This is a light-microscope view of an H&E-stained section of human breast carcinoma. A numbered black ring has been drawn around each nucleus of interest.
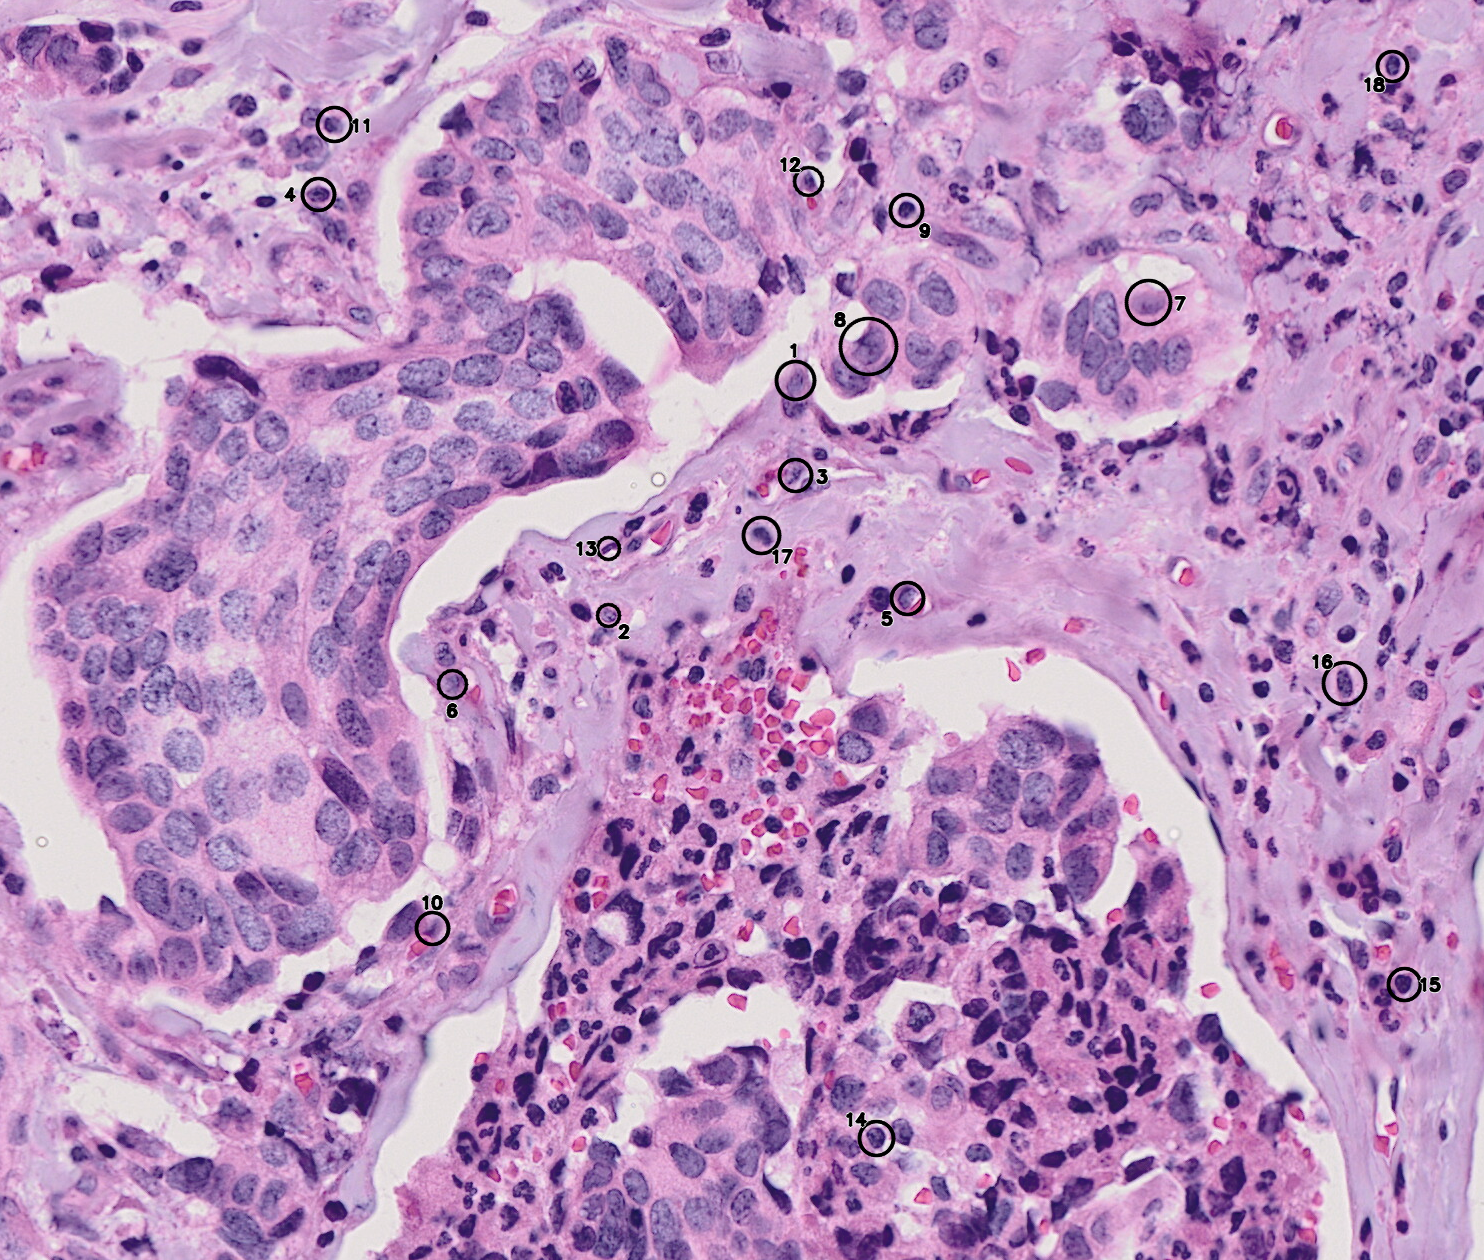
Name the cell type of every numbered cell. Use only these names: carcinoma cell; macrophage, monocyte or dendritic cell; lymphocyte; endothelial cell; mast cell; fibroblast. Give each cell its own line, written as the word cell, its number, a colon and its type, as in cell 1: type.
cell 1: endothelial cell
cell 2: mast cell
cell 3: endothelial cell
cell 4: lymphocyte
cell 5: endothelial cell
cell 6: endothelial cell
cell 7: carcinoma cell
cell 8: carcinoma cell
cell 9: lymphocyte
cell 10: endothelial cell
cell 11: lymphocyte
cell 12: endothelial cell
cell 13: fibroblast
cell 14: lymphocyte
cell 15: lymphocyte
cell 16: mast cell
cell 17: lymphocyte
cell 18: mast cell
